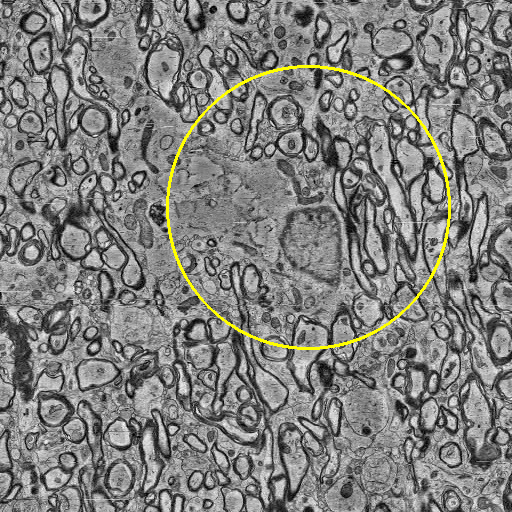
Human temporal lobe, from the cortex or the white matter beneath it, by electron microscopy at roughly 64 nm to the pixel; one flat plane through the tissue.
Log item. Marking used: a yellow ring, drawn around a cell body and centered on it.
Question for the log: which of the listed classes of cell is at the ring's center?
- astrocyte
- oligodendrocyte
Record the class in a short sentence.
At the center of the ring lies an astrocyte.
